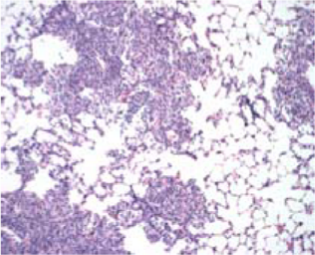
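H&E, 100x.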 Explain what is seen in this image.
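This is lung tissue at low magnification, and large parts of it are taken up by inflammation. Broad, irregular patches are crowded with small cells whose nuclei stain dark purple, so densely packed that the air spaces in these areas are filled in and the lung looks solid. Between and around these patches, other parts of the lung still look normal. There the alveoli are open and pale, and they are outlined by thin pink septa. The sharp contrast between the dense purple clusters and the lacy, air-filled lung shows how widespread and patchy the inflammatory infiltrate is.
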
